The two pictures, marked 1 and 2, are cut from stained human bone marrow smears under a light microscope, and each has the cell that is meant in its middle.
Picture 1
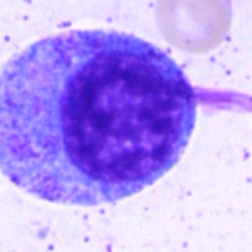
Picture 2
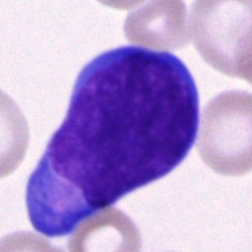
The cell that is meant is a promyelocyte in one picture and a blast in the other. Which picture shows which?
1: promyelocyte
2: blast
